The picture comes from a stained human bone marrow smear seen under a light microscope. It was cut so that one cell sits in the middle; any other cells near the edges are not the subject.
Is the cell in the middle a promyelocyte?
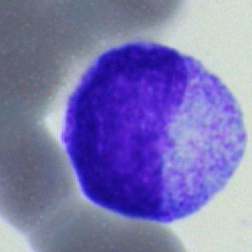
yes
